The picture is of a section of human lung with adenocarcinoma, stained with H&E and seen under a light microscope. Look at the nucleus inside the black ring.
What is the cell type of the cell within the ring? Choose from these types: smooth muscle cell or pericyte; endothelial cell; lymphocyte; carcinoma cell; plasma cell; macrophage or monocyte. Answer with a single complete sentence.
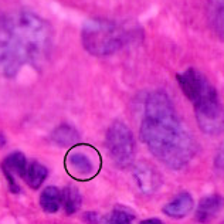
The cell within the ring is a lymphocyte.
